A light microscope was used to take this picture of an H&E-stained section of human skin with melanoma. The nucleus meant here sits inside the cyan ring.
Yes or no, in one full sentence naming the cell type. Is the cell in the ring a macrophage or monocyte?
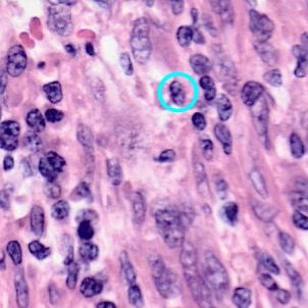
No, rather than being a macrophage or monocyte, the cell in the ring is a lymphocyte.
